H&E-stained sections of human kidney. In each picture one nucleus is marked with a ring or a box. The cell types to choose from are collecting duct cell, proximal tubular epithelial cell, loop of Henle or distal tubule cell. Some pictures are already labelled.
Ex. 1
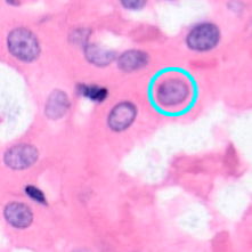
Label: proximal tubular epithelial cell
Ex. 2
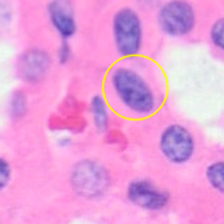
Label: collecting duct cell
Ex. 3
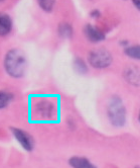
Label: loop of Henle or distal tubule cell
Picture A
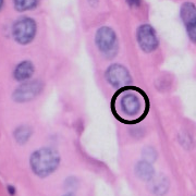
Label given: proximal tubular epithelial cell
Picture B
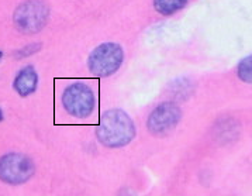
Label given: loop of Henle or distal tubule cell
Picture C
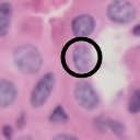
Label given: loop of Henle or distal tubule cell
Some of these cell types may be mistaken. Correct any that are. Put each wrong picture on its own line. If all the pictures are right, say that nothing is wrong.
A should be collecting duct cell, not proximal tubular epithelial cell
C should be collecting duct cell, not loop of Henle or distal tubule cell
